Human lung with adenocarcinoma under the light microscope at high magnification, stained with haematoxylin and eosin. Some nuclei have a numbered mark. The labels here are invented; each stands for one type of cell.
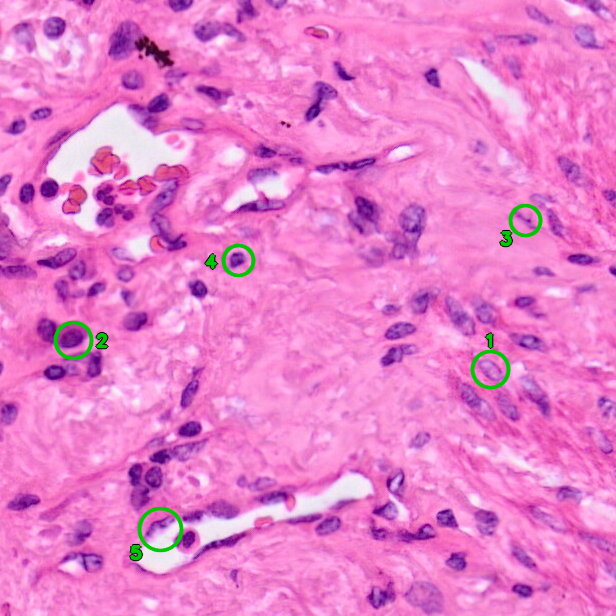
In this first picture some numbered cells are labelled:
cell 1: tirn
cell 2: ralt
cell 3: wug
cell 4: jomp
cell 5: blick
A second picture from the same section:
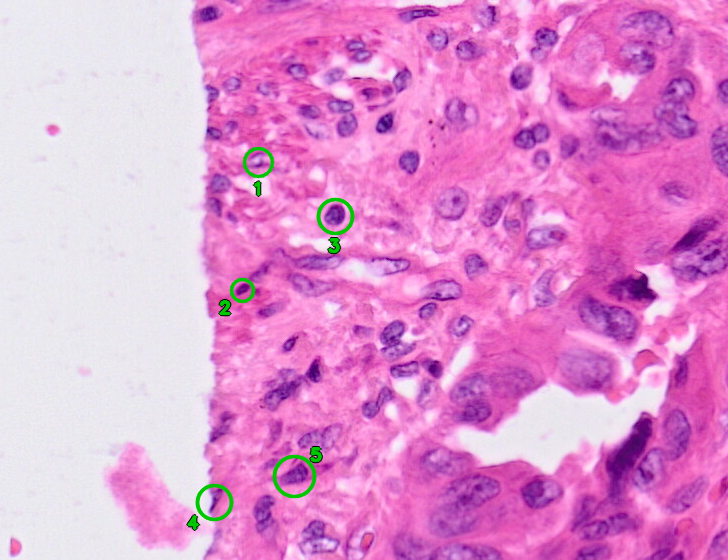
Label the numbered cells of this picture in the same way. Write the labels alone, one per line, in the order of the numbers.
tirn
tirn
jomp
blick
ralt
